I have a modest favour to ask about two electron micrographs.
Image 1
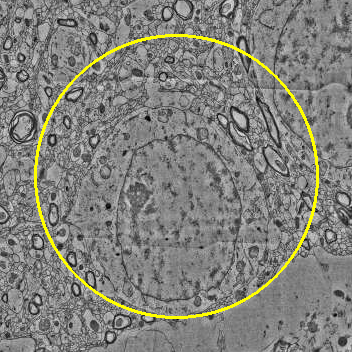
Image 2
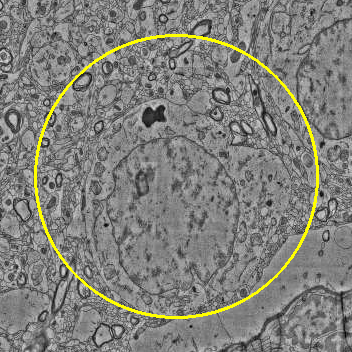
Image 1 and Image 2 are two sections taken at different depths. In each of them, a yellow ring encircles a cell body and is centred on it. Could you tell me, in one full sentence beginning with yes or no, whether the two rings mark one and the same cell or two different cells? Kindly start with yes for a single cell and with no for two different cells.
Yes, one cell appears twice, once in each ring.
